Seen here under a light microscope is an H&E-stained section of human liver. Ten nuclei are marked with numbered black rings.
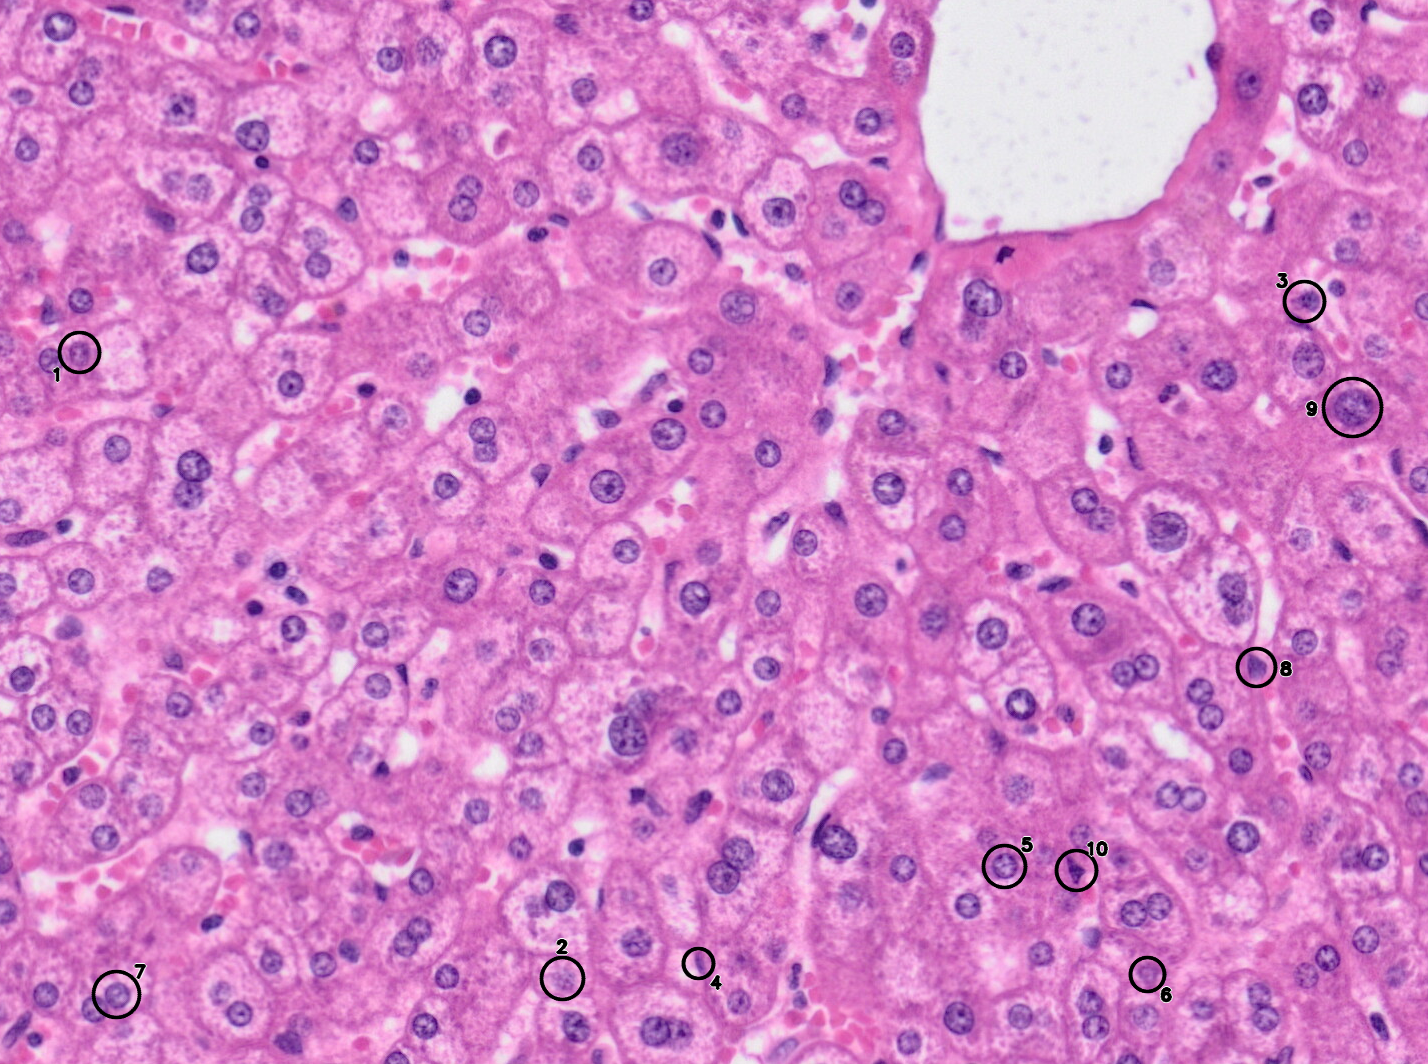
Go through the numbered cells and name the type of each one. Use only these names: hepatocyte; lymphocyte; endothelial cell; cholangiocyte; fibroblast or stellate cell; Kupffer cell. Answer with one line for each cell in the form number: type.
1: hepatocyte
2: hepatocyte
3: Kupffer cell
4: endothelial cell
5: hepatocyte
6: hepatocyte
7: hepatocyte
8: endothelial cell
9: hepatocyte
10: fibroblast or stellate cell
